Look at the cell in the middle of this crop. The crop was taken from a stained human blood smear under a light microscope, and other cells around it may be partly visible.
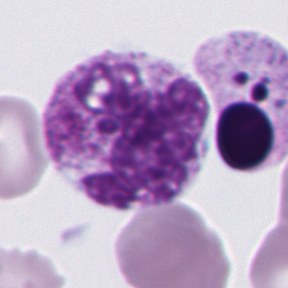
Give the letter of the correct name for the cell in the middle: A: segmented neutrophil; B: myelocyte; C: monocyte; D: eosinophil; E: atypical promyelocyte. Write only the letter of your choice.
A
